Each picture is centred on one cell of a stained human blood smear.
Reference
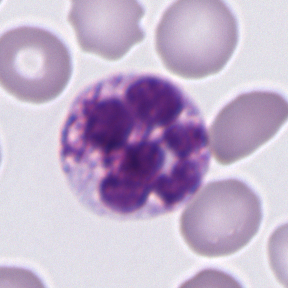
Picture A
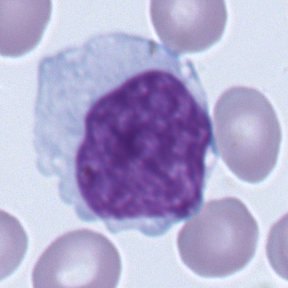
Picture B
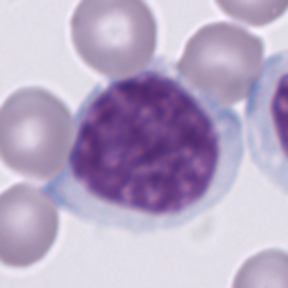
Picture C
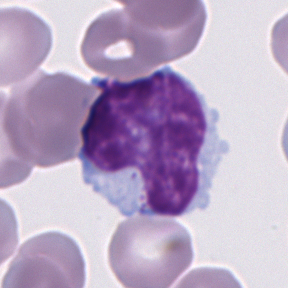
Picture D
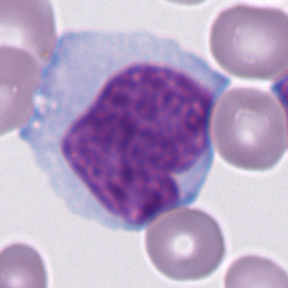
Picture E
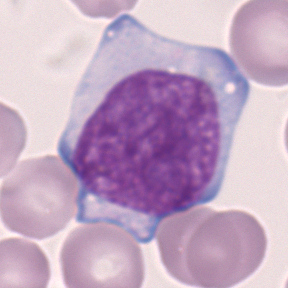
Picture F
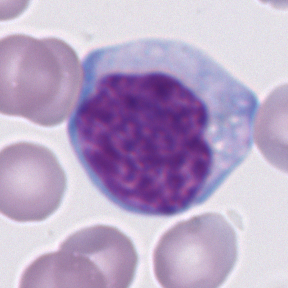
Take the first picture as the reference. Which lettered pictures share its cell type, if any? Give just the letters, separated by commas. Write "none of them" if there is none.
none of them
